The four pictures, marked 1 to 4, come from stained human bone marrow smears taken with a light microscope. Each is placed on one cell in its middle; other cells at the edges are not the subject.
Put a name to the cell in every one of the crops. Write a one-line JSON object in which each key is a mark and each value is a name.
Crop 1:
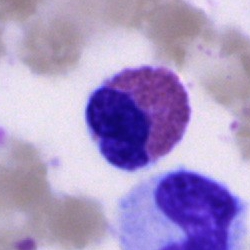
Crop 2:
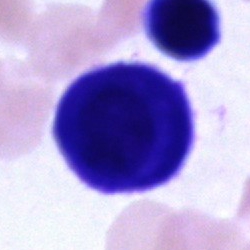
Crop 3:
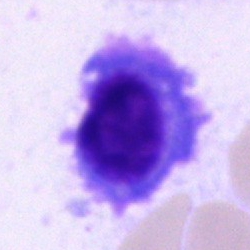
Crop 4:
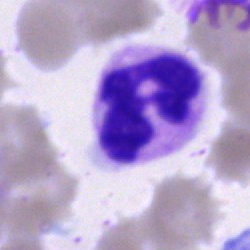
{"1": "eosinophil", "2": "plasma cell", "3": "plasma cell", "4": "segmented neutrophil"}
